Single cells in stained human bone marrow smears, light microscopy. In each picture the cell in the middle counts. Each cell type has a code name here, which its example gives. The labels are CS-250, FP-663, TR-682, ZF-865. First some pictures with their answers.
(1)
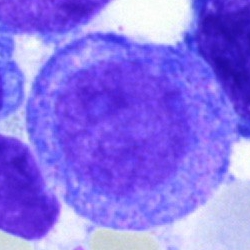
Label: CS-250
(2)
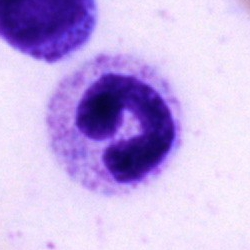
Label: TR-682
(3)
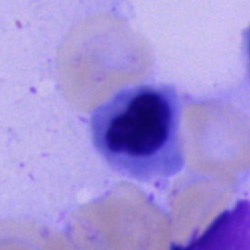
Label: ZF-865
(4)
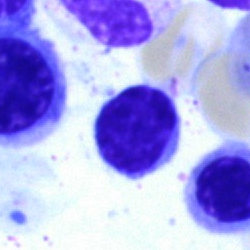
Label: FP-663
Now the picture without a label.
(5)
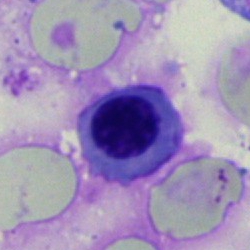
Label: ZF-865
